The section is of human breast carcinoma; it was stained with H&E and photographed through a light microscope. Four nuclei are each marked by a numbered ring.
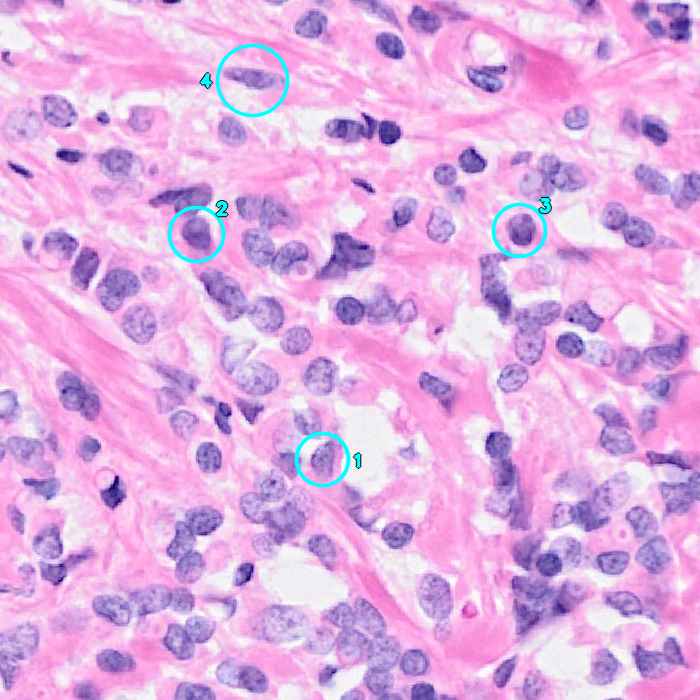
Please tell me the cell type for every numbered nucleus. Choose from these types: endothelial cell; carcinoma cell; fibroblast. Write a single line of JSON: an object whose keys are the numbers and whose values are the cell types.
{"1": "carcinoma cell", "2": "carcinoma cell", "3": "carcinoma cell", "4": "fibroblast"}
